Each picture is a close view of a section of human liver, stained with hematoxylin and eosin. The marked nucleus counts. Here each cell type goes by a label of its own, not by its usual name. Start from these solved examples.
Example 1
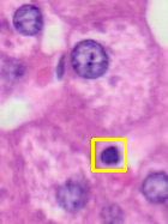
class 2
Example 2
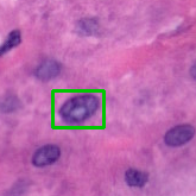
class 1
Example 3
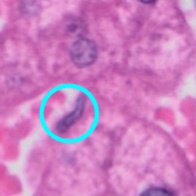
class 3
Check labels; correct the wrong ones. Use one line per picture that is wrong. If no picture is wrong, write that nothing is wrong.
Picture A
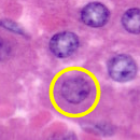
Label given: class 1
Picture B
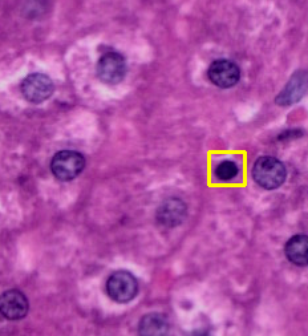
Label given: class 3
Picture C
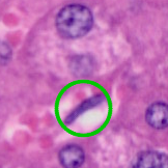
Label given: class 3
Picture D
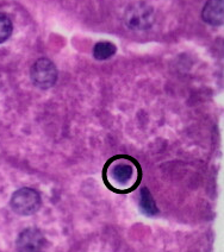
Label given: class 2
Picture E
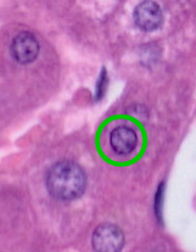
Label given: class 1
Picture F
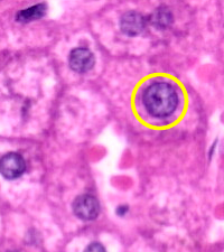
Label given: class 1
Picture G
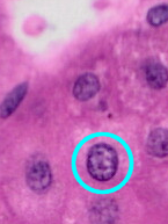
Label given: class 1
B: not class 3 but class 2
